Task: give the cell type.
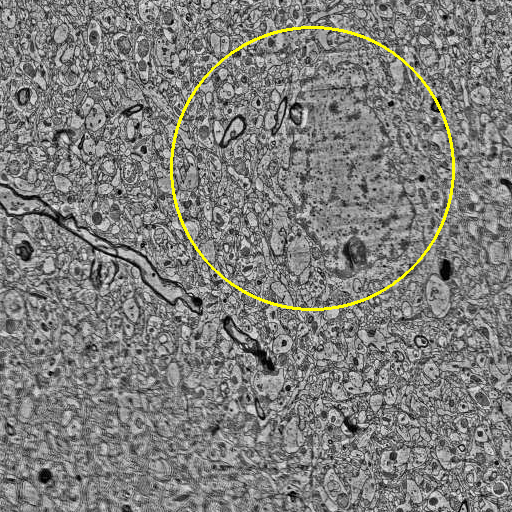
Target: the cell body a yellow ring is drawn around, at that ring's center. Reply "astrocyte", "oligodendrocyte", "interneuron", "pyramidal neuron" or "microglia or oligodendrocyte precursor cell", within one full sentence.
In this picture, the cell whose body lies at the ring's center is an interneuron.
